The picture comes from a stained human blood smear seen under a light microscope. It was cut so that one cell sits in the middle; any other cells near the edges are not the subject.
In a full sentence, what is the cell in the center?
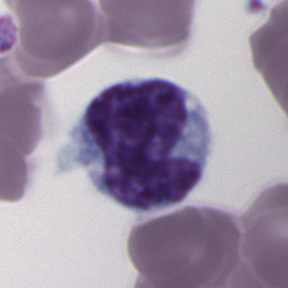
Among the cells in view, the one in the middle is a monocyte.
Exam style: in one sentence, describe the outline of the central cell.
In outline, the cell is irregular, ragged in stretches or drawn into projections.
